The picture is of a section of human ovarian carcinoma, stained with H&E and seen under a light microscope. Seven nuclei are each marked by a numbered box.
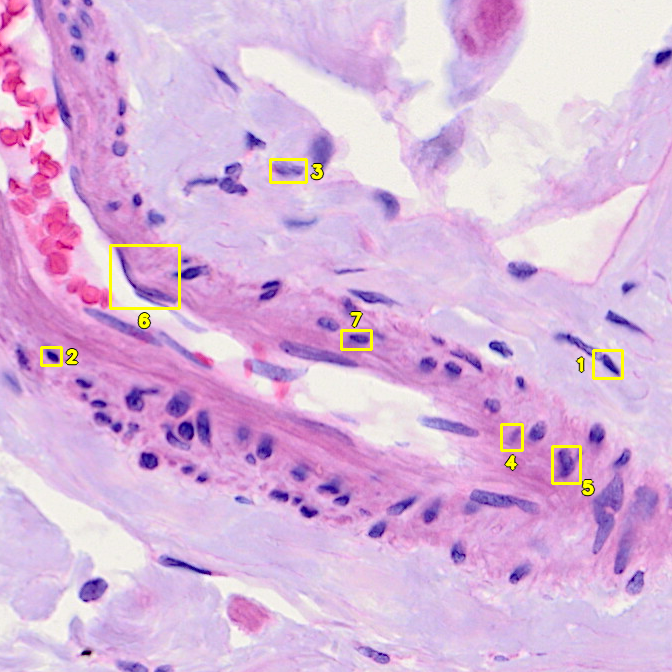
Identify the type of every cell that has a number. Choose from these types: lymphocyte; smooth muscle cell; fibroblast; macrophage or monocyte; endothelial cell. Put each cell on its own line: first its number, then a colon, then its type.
1: fibroblast
2: smooth muscle cell
3: fibroblast
4: smooth muscle cell
5: smooth muscle cell
6: endothelial cell
7: smooth muscle cell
